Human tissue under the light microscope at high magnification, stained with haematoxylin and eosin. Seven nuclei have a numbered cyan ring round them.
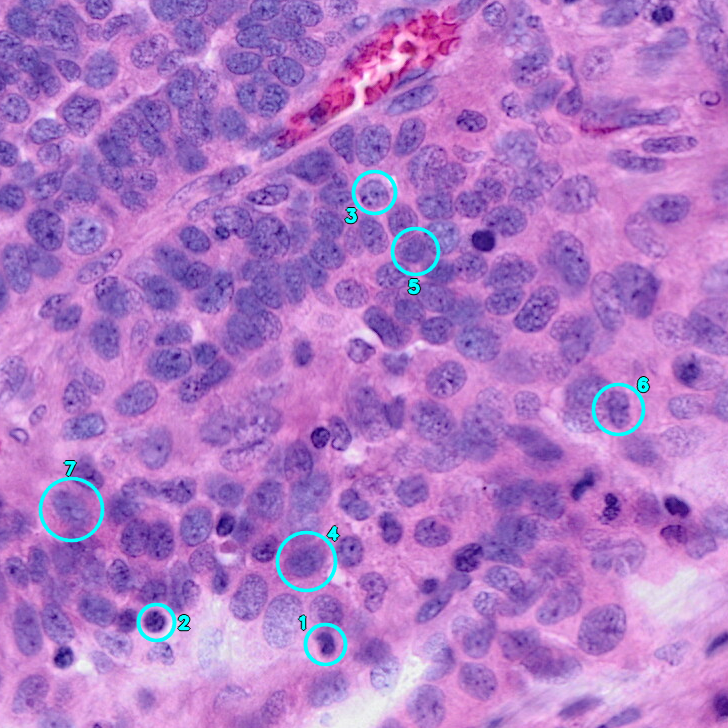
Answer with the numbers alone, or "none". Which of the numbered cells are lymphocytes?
1, 2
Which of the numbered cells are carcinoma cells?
4, 5, 7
